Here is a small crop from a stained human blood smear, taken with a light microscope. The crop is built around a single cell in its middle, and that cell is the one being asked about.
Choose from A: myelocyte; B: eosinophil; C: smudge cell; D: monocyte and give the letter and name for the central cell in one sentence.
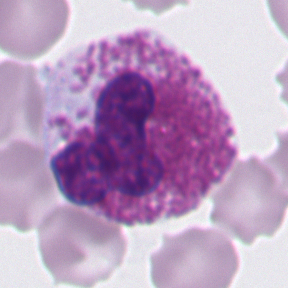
Option B holds, for the cell in the middle is an eosinophil.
